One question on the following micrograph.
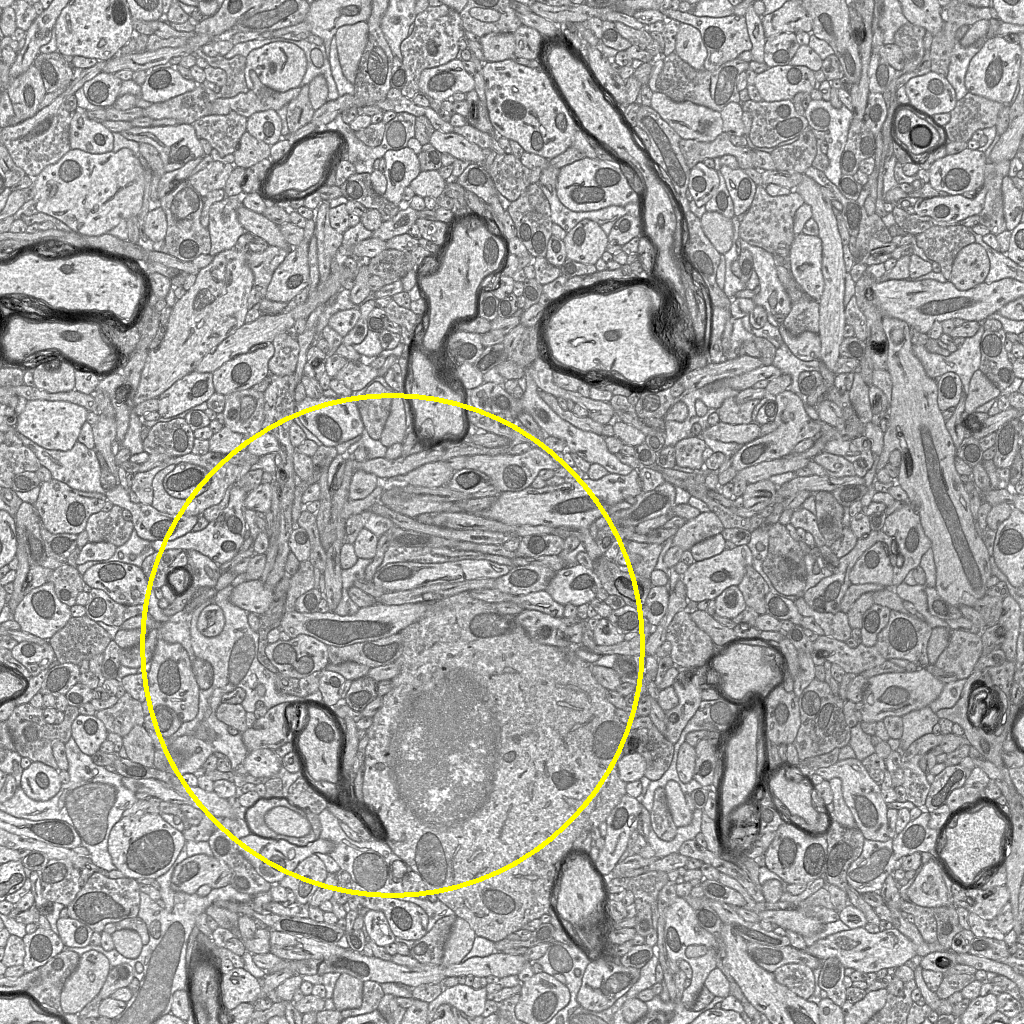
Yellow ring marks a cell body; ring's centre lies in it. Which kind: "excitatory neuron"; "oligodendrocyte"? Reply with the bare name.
oligodendrocyte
